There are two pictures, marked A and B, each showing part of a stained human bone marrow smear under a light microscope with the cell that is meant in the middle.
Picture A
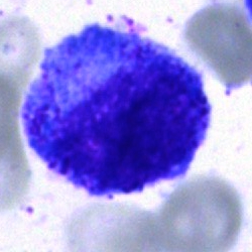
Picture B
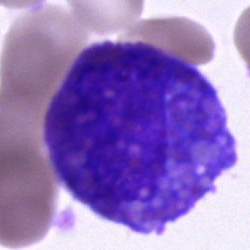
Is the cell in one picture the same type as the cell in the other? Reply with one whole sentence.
No, the types are not the same, since picture A shows a promyelocyte and picture B an eosinophil.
